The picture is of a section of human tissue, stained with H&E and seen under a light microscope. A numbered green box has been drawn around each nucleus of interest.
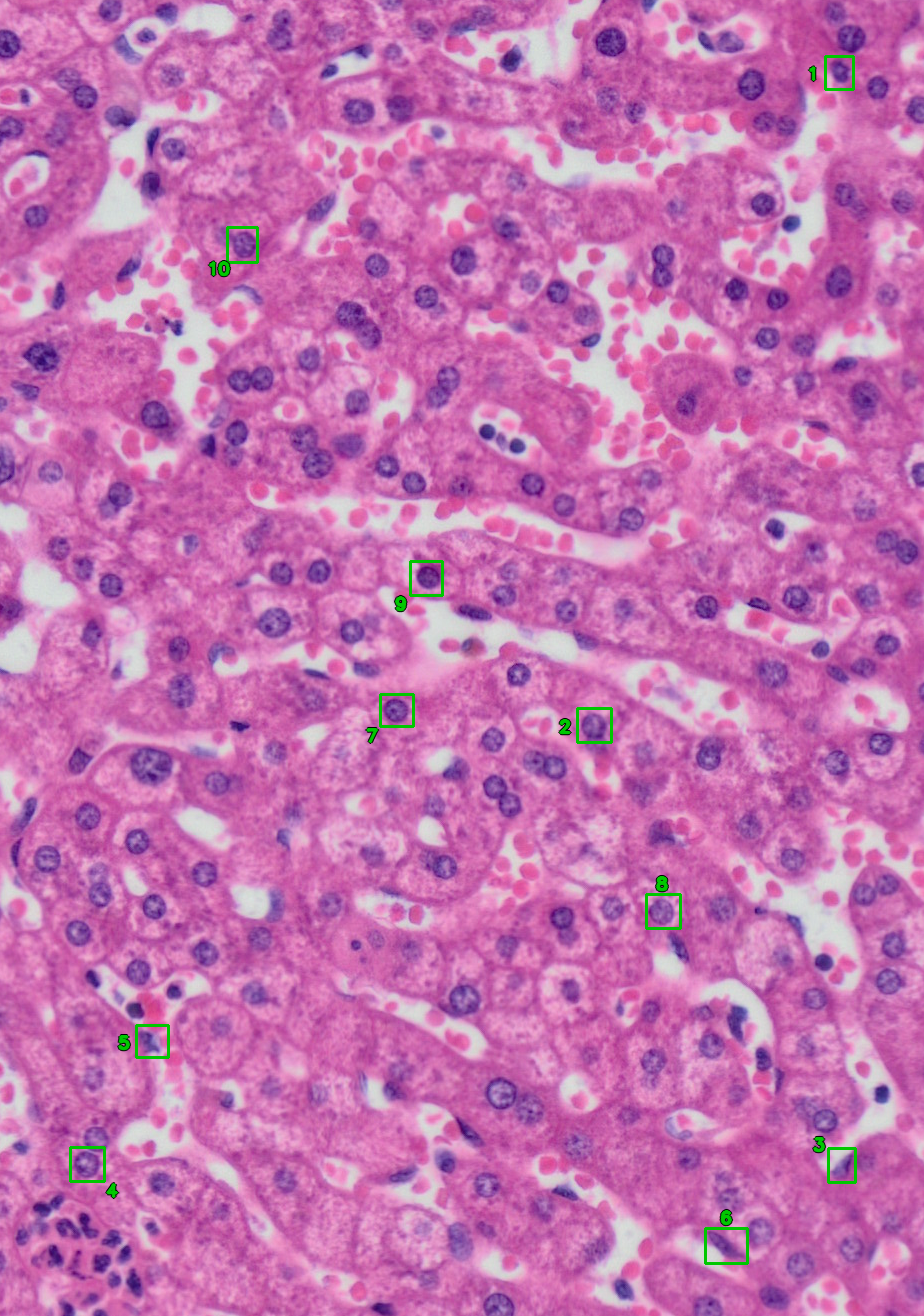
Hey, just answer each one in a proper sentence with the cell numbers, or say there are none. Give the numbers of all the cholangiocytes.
The numbered cells, every one of them, are not cholangiocytes.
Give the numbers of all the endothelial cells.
The cells carrying the numbers 3 and 5 are endothelial cells.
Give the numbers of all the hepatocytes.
Cells that were given the numbers 2, 4, 7, 8, 9 and 10 are hepatocytes.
